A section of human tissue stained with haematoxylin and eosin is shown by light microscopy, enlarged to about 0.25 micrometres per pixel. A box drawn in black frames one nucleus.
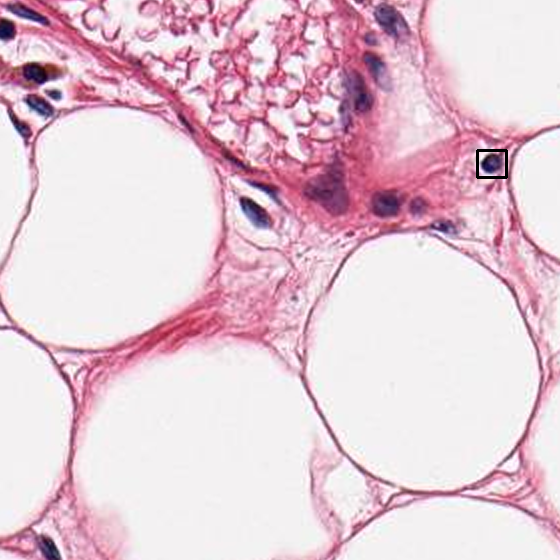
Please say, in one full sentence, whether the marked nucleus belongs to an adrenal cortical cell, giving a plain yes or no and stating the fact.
No, not to an adrenal cortical cell does the marked nucleus belong, but to a supporting cell.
